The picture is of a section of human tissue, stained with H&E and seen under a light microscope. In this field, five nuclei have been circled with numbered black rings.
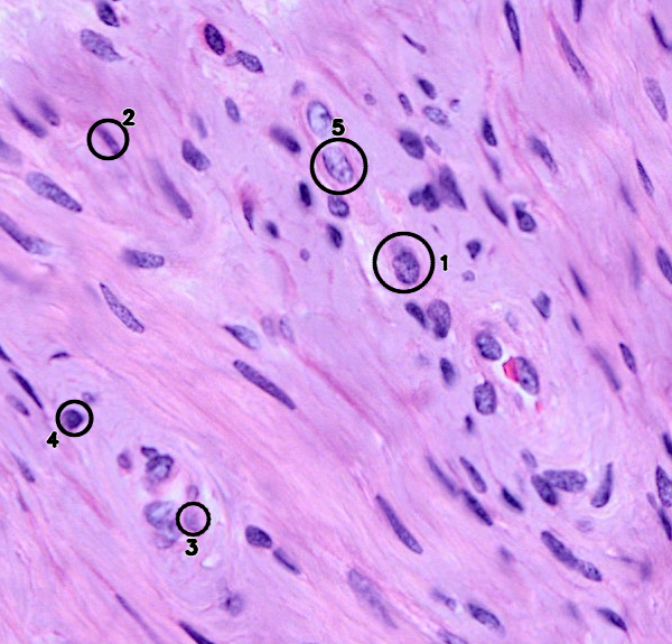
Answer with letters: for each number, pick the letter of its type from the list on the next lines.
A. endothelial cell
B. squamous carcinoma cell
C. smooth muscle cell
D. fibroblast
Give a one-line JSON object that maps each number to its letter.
{"1": "A", "2": "C", "3": "A", "4": "D", "5": "A"}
